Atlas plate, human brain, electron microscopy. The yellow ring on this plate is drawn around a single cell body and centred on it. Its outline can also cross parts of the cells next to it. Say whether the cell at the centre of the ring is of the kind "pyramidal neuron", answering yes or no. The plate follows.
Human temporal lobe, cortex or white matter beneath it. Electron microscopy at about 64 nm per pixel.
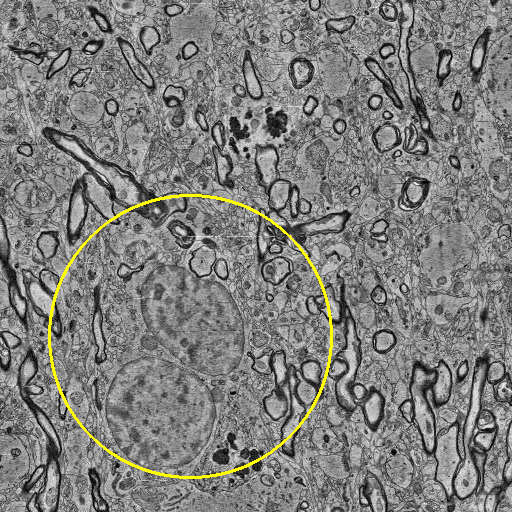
No, the cell is of another kind.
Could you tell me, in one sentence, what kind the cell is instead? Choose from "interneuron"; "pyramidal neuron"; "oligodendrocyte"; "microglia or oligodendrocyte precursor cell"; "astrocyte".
The cell enclosed by the ring is an oligodendrocyte.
